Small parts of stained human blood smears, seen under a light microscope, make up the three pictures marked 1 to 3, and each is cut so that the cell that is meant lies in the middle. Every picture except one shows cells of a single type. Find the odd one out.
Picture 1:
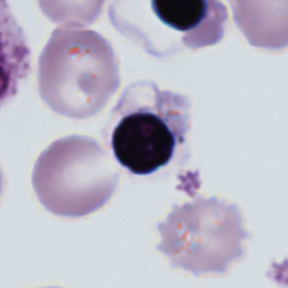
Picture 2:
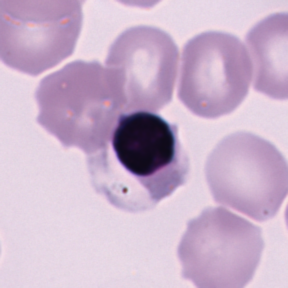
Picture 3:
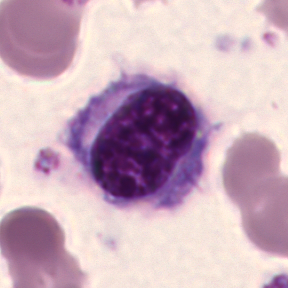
3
